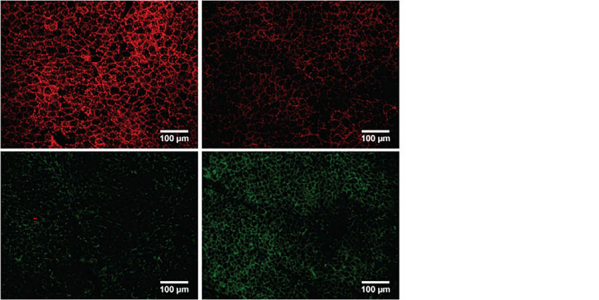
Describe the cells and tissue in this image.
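In the upper row, red signal outlines a dense mesh of small, closely packed, roughly polygonal compartments, which gives the tissue a honeycomb-like look. In the upper left image this red mesh is bright and continuous. In the upper right image the same mesh pattern is much fainter and patchier. In the lower row the green signal is fine and speckled against a dark background, and it is clearly brighter and more widespread in the right image than in the left.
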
